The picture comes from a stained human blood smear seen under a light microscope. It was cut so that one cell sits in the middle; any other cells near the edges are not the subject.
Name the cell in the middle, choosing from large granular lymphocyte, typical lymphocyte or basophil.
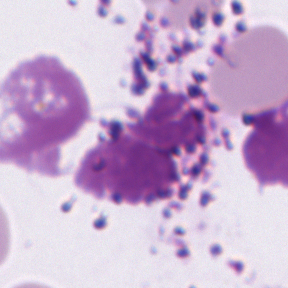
basophil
